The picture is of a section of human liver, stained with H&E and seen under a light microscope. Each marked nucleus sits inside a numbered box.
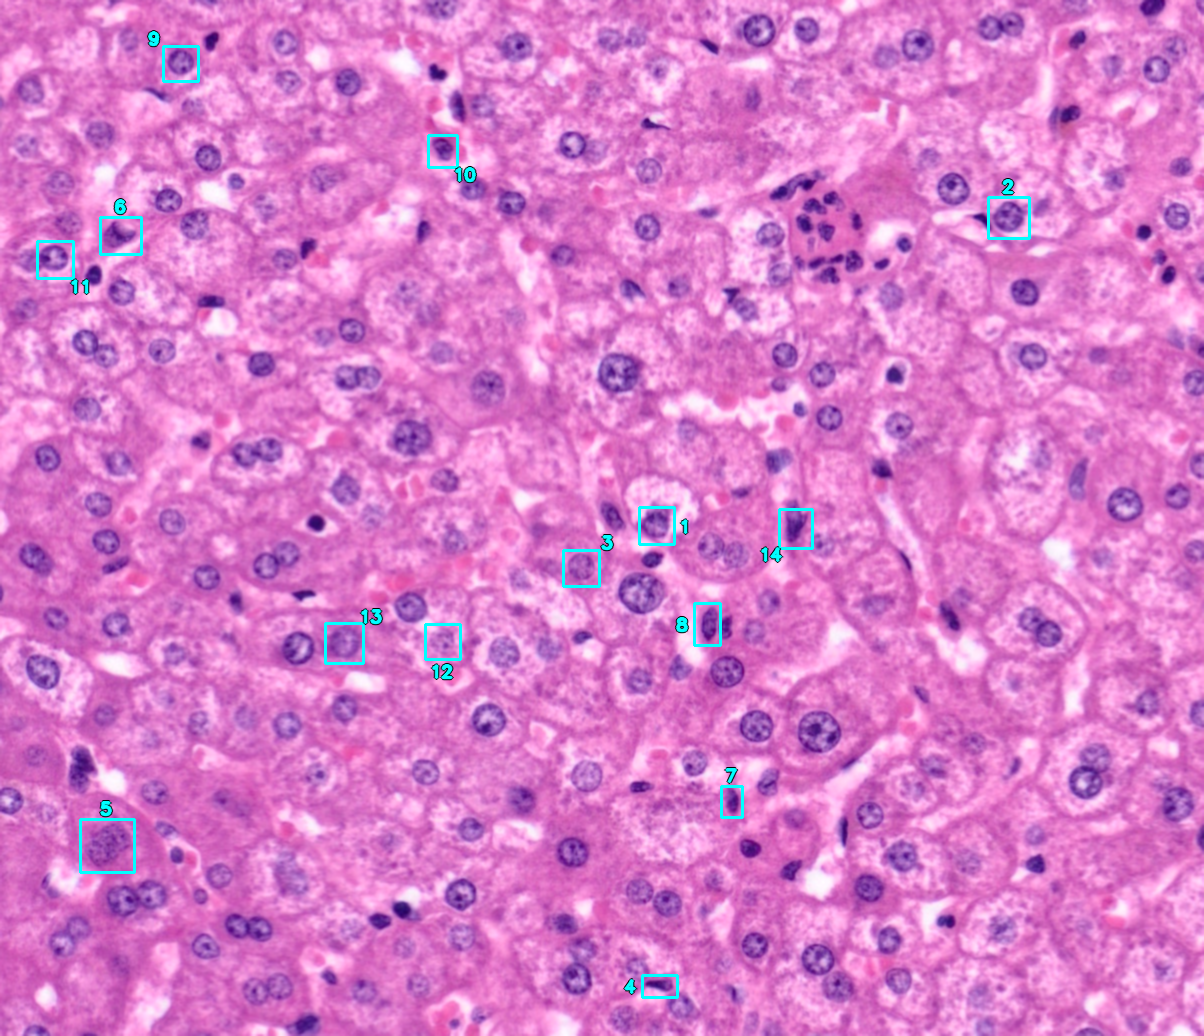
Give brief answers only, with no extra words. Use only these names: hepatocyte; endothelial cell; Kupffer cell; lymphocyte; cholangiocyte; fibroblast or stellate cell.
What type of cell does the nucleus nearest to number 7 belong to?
Kupffer cell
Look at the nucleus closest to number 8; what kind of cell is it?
fibroblast or stellate cell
